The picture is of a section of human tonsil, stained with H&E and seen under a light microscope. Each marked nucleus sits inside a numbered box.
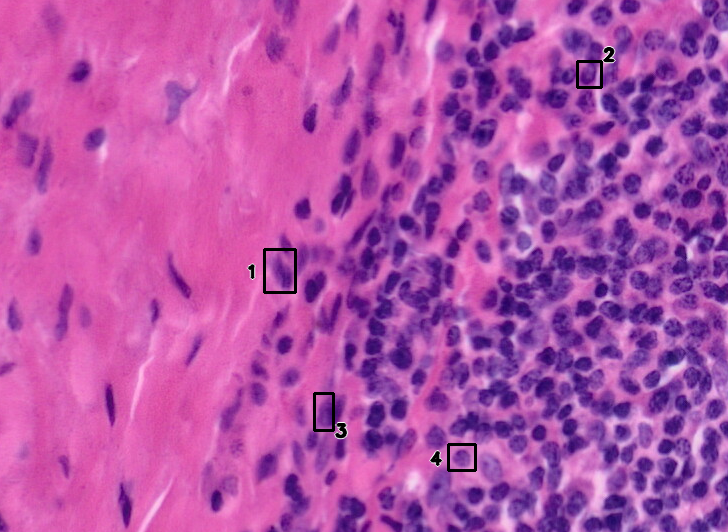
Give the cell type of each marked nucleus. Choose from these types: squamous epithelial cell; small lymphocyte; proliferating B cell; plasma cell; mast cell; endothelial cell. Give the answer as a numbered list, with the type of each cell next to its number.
1. endothelial cell
2. plasma cell
3. endothelial cell
4. endothelial cell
